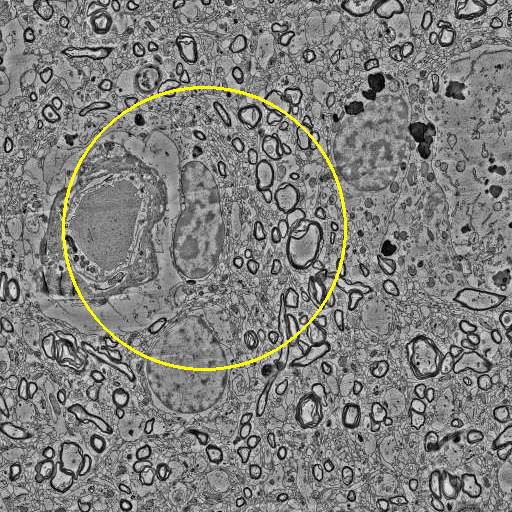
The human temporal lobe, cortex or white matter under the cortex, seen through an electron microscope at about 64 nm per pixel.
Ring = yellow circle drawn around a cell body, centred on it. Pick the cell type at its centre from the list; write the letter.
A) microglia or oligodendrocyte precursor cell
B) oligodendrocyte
A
